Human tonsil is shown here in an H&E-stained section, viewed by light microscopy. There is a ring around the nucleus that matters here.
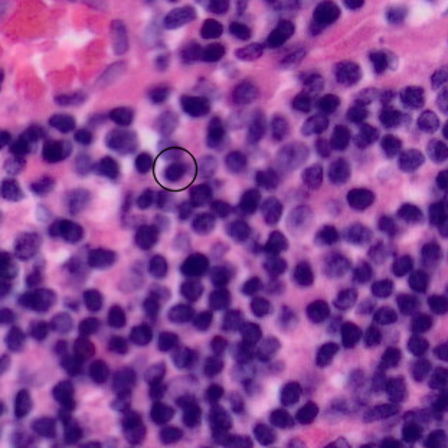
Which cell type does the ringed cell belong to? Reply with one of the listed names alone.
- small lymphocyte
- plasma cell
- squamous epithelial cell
small lymphocyte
